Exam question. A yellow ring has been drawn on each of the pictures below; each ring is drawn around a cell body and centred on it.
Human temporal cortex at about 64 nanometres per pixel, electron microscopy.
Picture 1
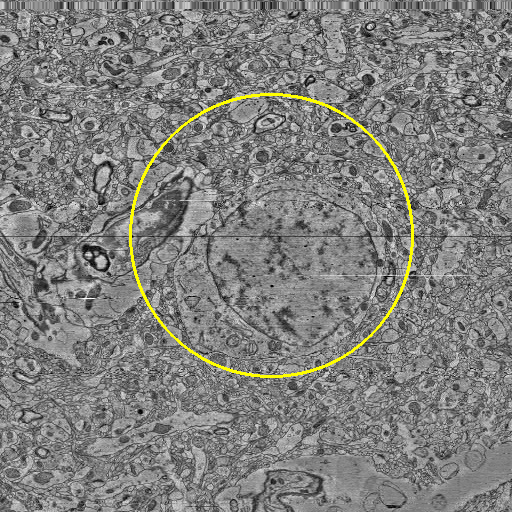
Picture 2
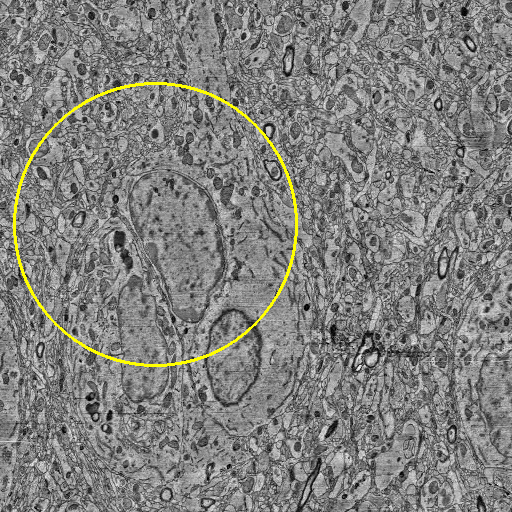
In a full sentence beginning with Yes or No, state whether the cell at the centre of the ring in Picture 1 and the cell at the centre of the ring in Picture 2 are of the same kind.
No, the cells are of two kinds.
